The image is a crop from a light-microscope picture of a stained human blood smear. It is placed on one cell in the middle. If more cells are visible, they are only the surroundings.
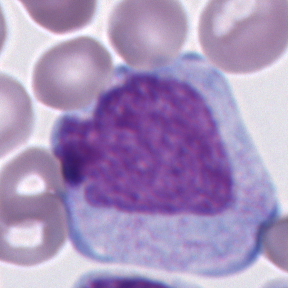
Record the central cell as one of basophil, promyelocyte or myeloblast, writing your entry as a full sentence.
The cell at the central position in this crop is a promyelocyte.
